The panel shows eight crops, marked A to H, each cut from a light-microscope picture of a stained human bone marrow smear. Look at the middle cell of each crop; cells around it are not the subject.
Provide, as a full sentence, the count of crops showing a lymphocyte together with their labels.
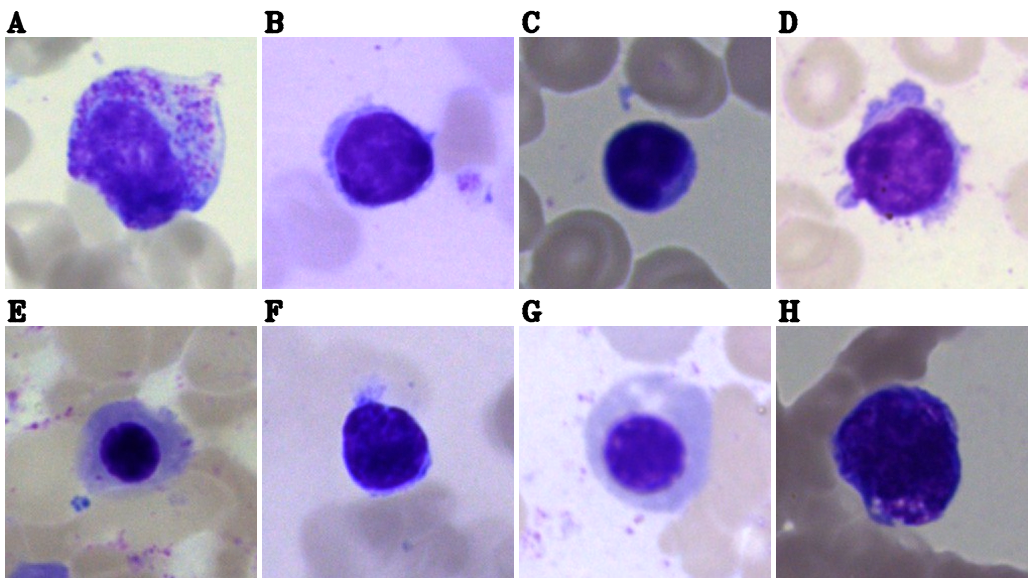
The lymphocytes are represented in crops B, C, D and F, four crops altogether.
